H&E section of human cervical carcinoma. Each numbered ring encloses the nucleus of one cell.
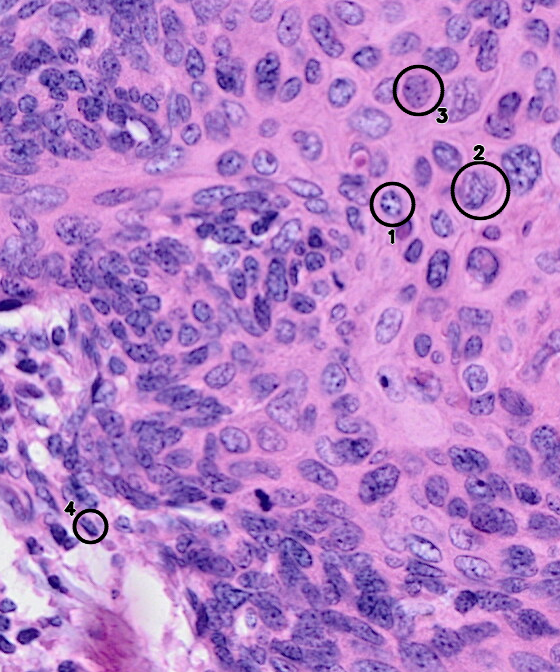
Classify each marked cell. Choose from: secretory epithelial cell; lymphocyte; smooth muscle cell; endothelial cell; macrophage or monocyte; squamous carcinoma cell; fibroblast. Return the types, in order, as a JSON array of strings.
["squamous carcinoma cell", "squamous carcinoma cell", "squamous carcinoma cell", "lymphocyte"]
